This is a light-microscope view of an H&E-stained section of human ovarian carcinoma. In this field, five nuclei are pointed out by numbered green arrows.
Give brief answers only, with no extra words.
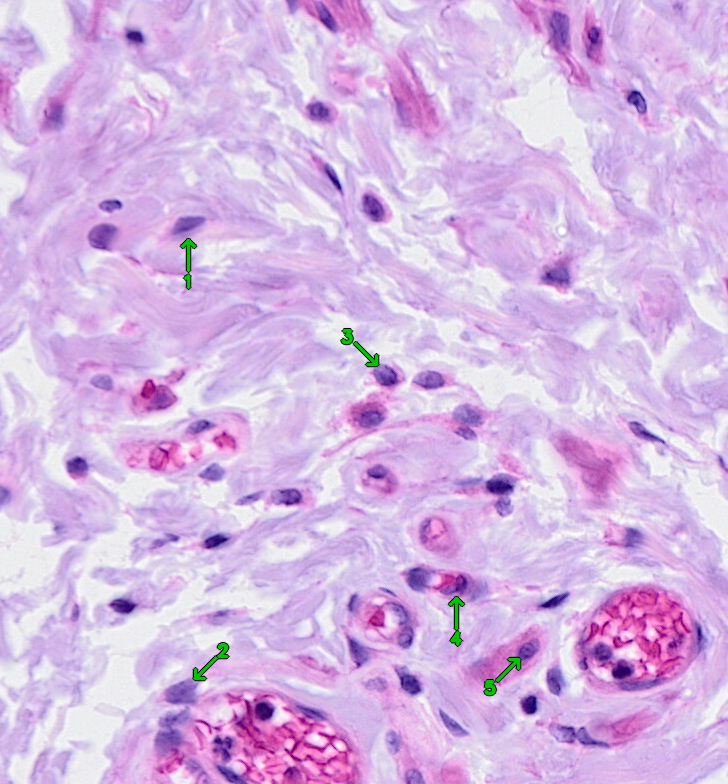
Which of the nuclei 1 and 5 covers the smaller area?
5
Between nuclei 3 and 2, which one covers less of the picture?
3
